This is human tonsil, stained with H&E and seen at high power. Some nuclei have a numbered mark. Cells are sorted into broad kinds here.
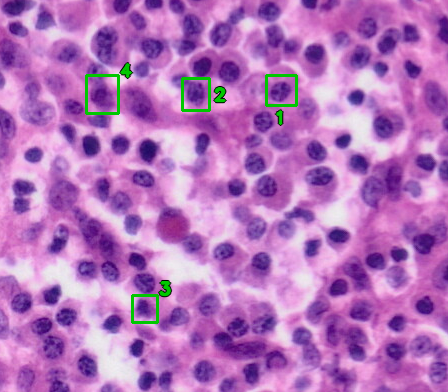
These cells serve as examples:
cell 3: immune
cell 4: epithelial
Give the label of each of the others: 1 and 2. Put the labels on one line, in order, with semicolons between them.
immune; immune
